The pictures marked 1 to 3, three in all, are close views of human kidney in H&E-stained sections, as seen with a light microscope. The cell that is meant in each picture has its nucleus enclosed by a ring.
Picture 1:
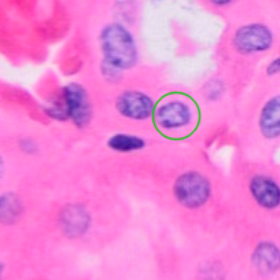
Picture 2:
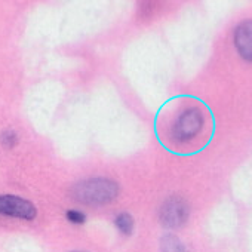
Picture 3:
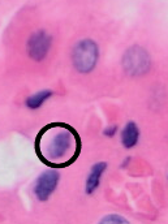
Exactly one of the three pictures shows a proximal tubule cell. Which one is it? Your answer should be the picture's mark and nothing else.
2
